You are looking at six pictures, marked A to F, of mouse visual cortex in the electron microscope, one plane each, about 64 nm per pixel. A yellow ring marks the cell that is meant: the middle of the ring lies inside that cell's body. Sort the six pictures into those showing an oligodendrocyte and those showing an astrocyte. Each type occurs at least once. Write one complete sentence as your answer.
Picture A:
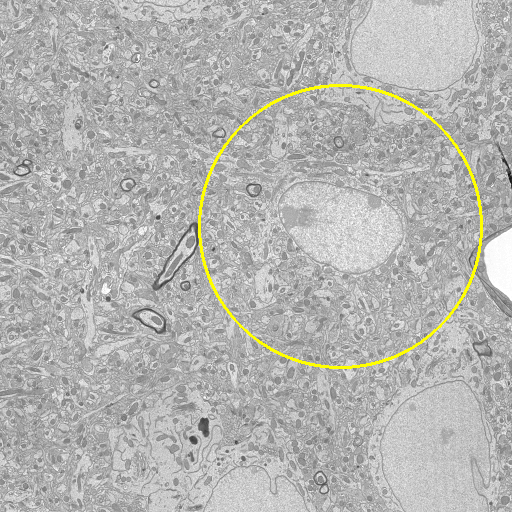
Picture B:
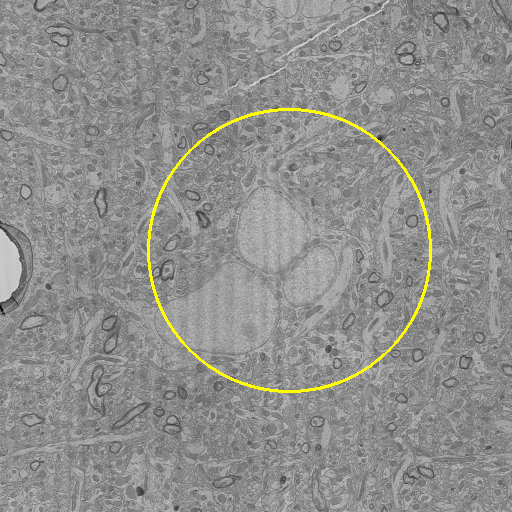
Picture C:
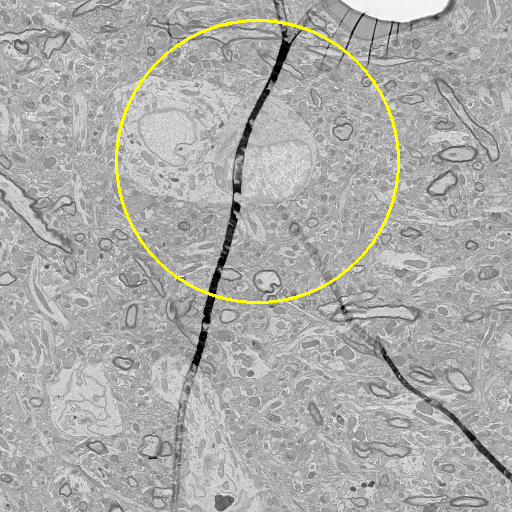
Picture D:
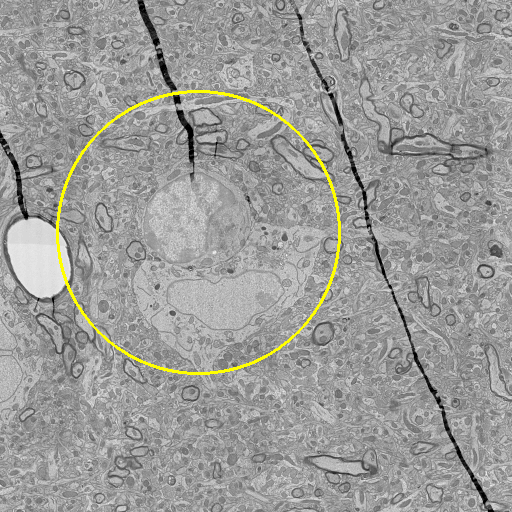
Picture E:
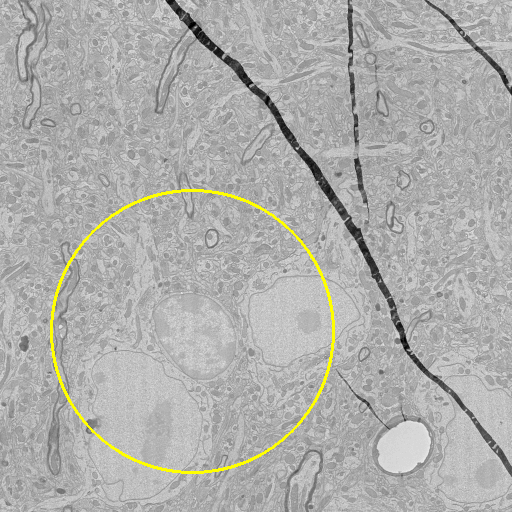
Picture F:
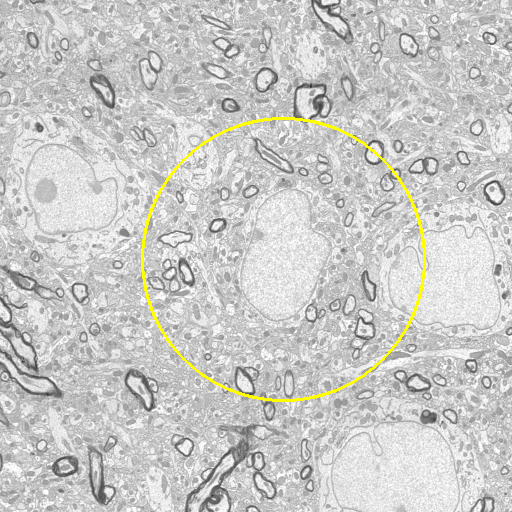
Pictures C, D and E show oligodendrocytes, and pictures A, B and F show astrocytes.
